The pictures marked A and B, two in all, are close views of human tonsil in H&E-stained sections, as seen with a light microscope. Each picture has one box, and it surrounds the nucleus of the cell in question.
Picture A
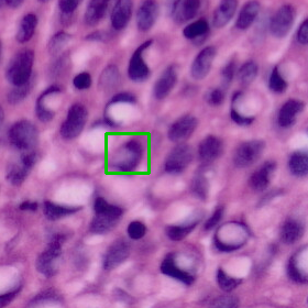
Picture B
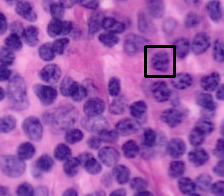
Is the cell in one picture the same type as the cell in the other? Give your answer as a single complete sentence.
No, picture A shows a squamous epithelial cell and picture B shows a plasma cell.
